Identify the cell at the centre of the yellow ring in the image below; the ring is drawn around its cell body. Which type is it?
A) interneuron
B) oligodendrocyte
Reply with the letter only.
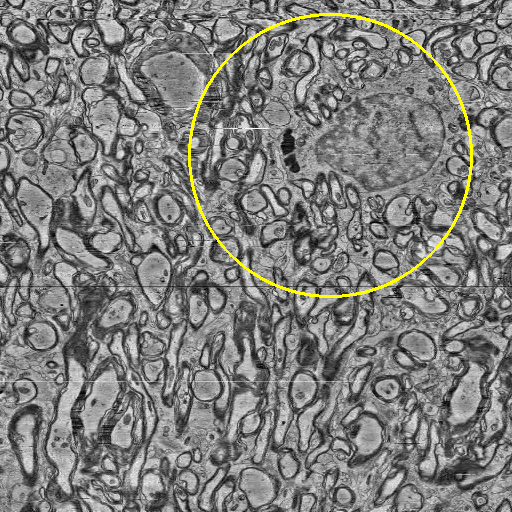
B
